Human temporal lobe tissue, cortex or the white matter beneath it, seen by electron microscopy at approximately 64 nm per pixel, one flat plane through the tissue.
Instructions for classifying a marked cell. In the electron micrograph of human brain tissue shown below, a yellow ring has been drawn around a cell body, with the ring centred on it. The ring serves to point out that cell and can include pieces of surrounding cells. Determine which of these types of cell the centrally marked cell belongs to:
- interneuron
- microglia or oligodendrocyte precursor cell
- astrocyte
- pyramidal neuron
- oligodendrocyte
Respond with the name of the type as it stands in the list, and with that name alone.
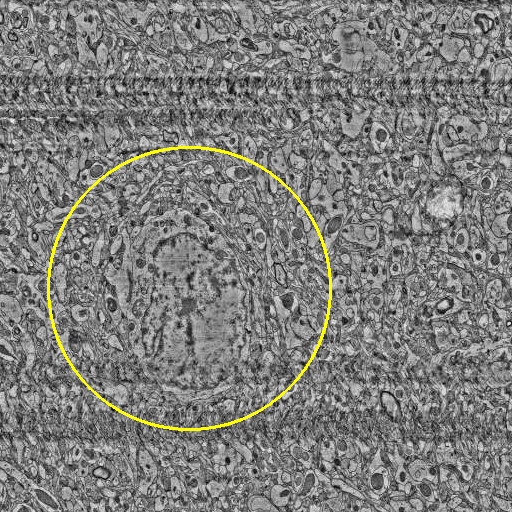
interneuron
